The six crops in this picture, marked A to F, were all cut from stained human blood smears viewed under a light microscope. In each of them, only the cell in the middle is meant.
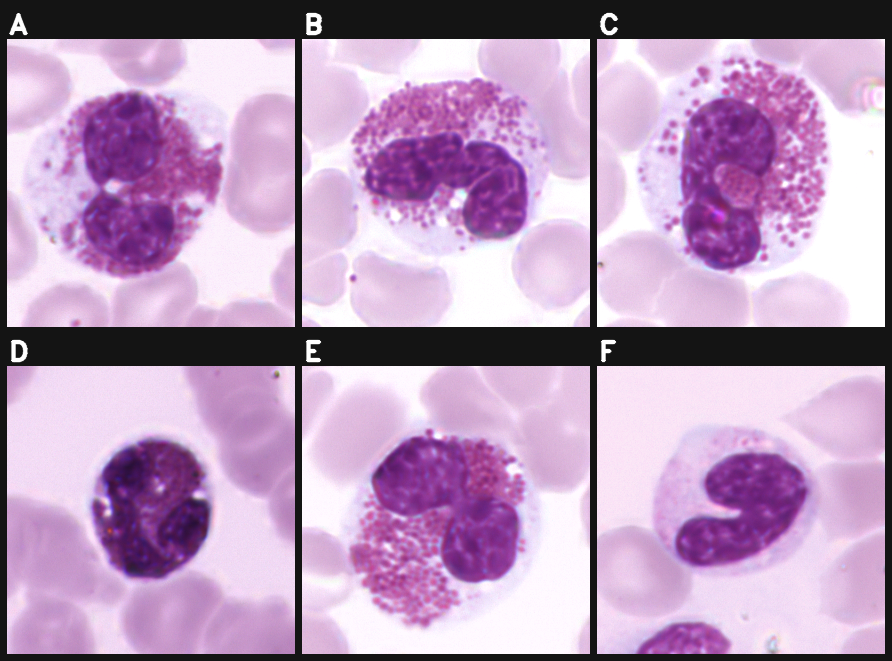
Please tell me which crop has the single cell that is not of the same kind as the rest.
F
